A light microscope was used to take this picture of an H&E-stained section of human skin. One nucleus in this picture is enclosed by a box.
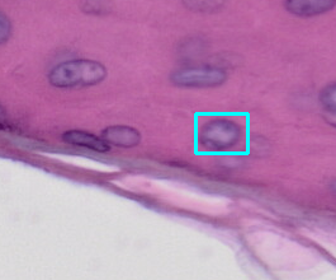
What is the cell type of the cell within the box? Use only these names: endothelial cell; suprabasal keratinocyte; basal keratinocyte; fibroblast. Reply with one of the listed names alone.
suprabasal keratinocyte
